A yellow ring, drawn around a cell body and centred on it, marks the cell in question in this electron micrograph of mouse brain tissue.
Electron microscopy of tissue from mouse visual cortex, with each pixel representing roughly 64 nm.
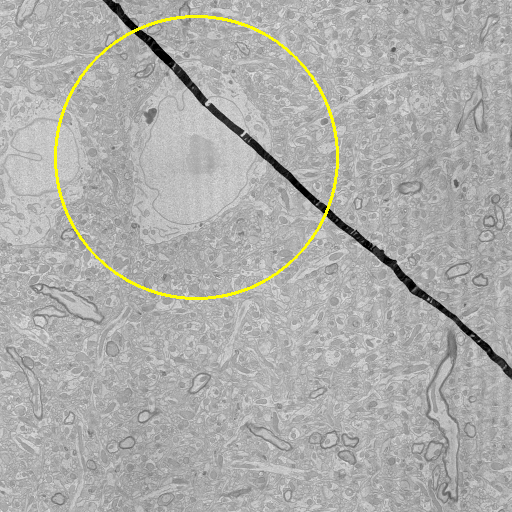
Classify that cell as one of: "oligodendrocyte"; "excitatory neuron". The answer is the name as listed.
excitatory neuron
